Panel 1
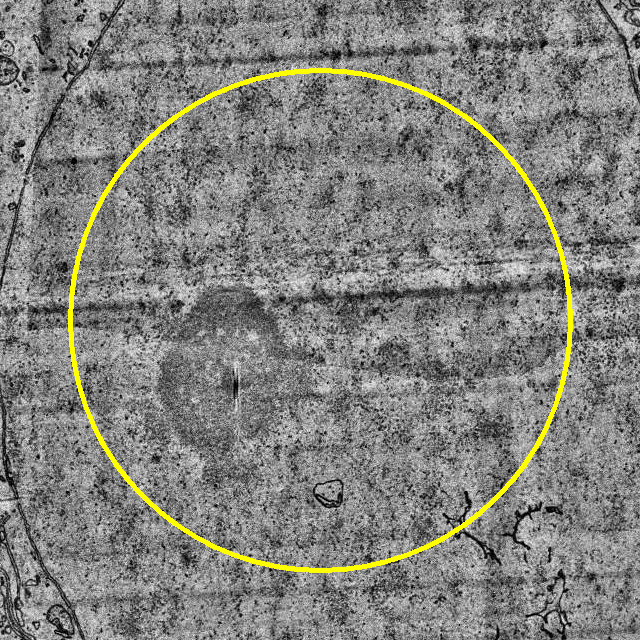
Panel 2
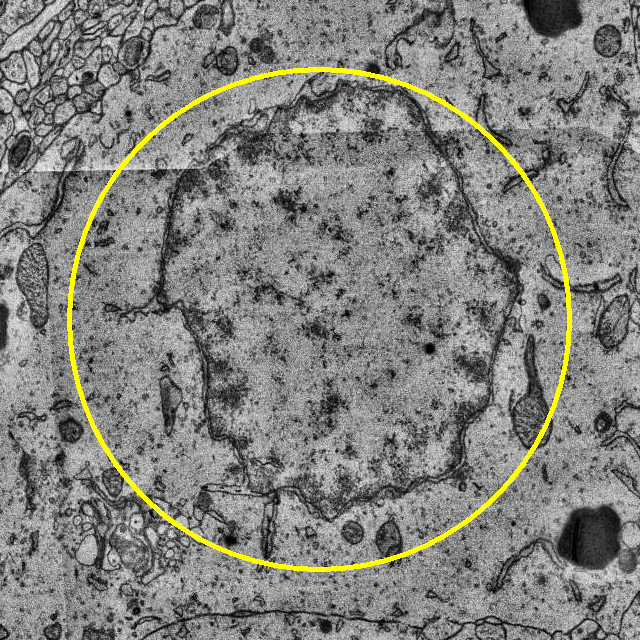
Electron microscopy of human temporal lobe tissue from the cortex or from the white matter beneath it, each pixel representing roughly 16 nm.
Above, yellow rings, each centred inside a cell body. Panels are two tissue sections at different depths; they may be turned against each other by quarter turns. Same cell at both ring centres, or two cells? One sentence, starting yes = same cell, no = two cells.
No, two cells, not one, are marked by the yellow rings.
